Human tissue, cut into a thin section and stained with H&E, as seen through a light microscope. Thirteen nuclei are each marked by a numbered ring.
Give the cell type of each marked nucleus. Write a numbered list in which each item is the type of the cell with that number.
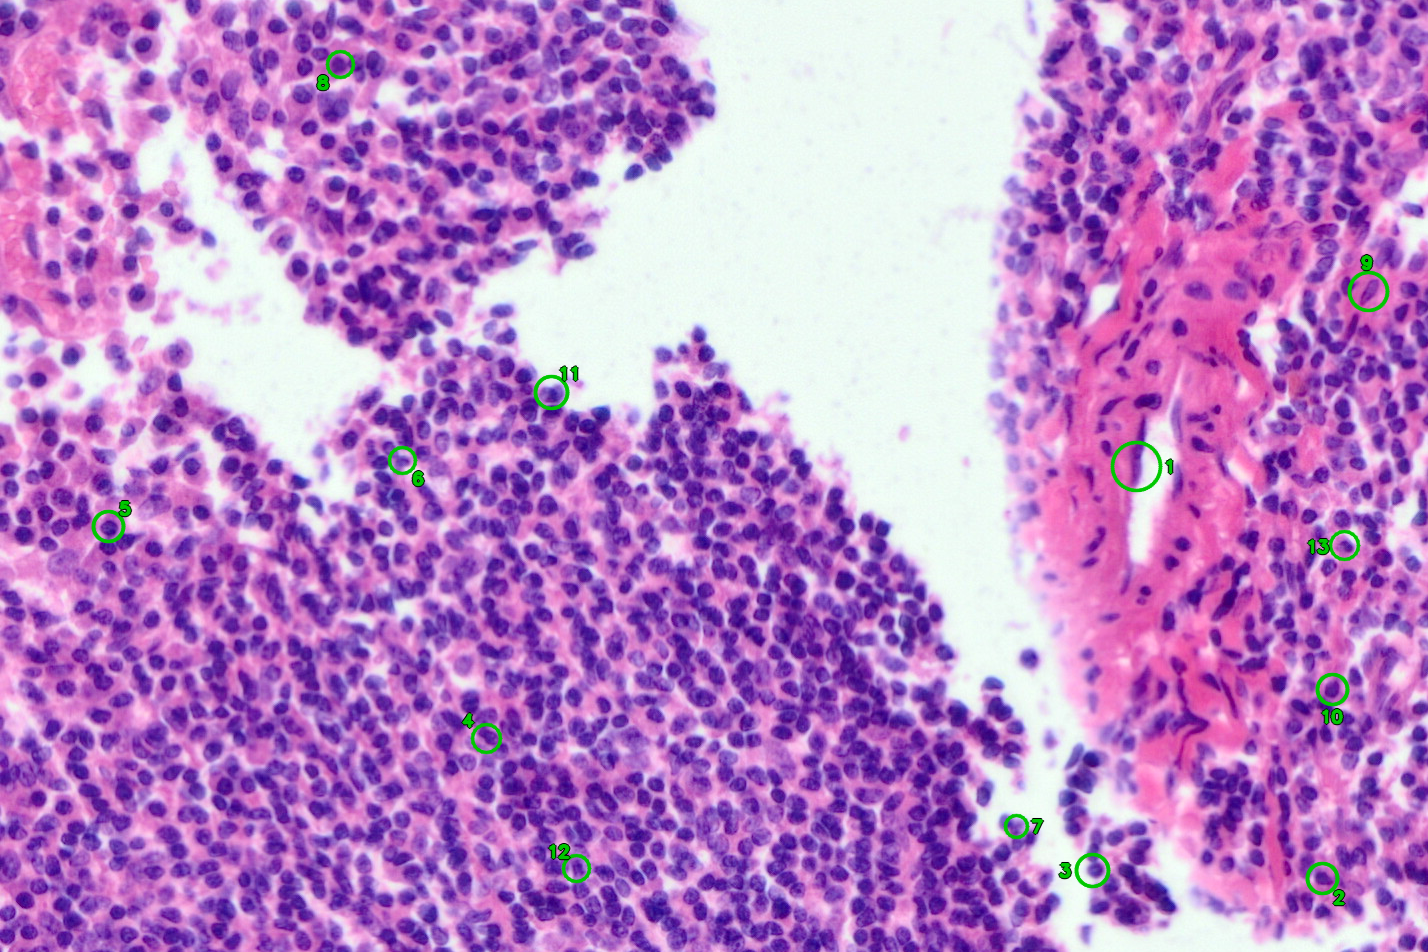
1. endothelial cell
2. plasma cell
3. small lymphocyte
4. small lymphocyte
5. plasma cell
6. small lymphocyte
7. small lymphocyte
8. plasma cell
9. endothelial cell
10. plasma cell
11. small lymphocyte
12. small lymphocyte
13. plasma cell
